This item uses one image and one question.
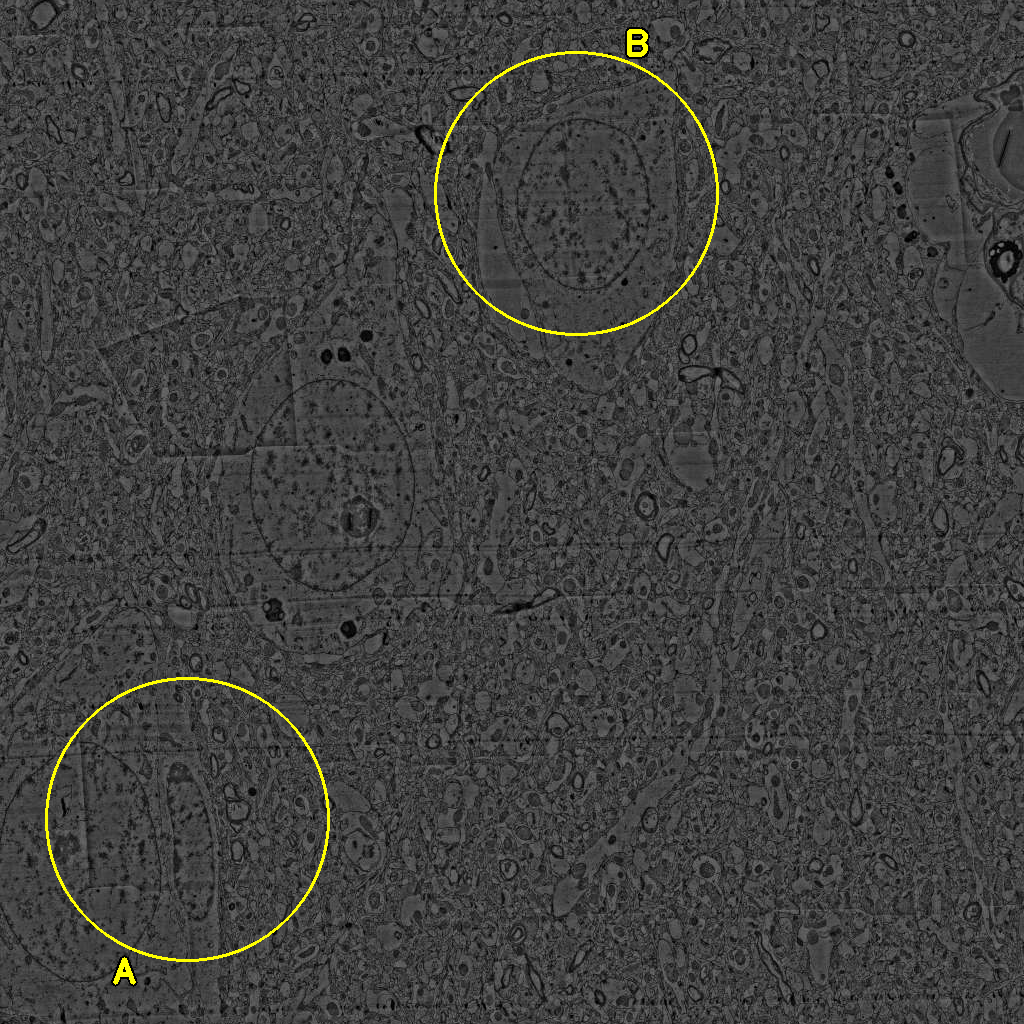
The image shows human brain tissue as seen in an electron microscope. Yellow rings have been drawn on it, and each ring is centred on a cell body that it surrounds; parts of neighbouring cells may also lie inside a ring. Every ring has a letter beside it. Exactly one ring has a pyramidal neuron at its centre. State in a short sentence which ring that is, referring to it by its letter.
Ring B has that cell at its centre.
